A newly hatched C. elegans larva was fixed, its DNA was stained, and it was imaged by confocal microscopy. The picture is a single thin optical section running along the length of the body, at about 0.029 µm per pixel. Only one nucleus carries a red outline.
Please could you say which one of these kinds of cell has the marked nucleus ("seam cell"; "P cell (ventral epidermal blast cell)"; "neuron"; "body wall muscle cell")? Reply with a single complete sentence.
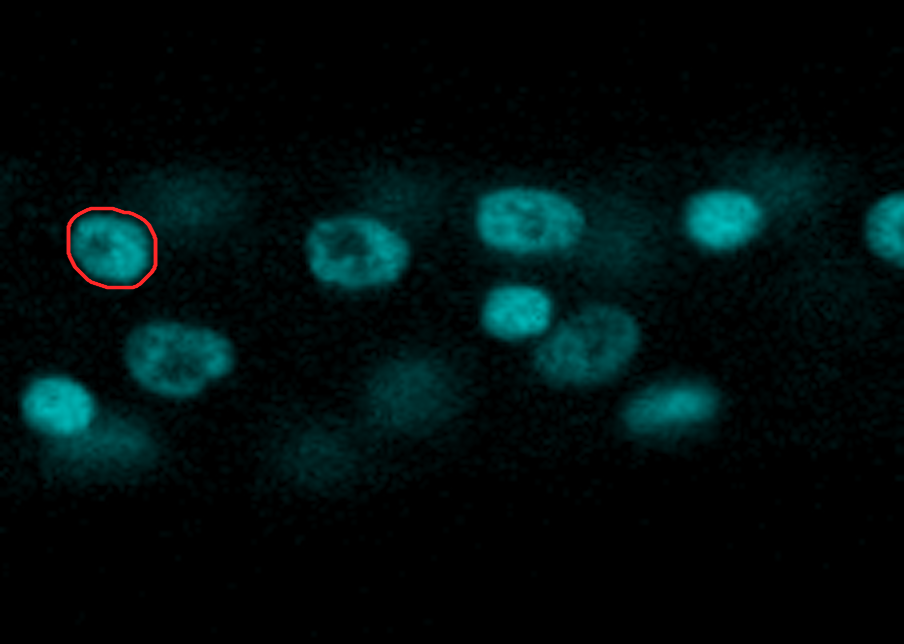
This is the nucleus of a P cell (ventral epidermal blast cell).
